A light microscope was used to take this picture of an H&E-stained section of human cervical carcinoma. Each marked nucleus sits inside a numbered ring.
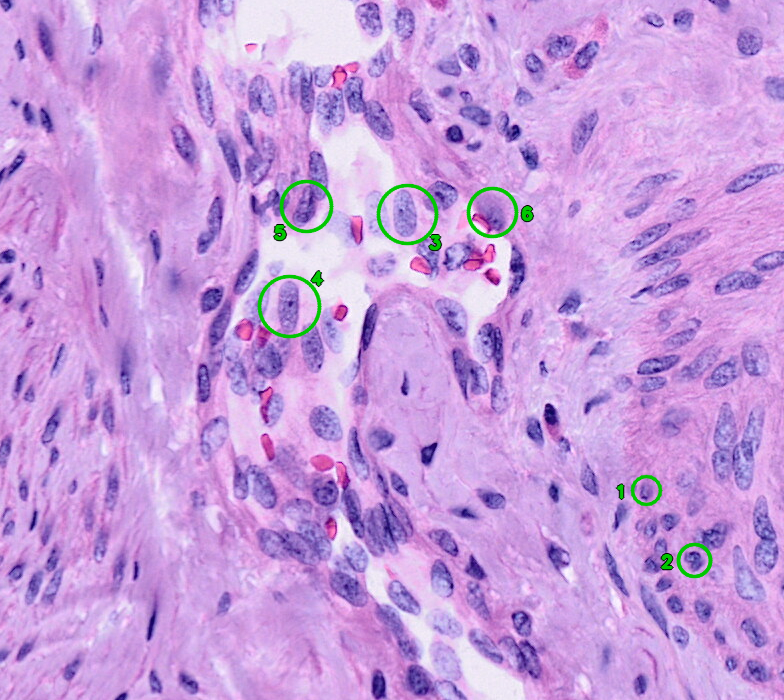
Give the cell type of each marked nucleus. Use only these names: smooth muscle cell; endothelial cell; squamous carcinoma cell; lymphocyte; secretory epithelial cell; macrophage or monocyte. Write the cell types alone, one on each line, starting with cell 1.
smooth muscle cell
smooth muscle cell
endothelial cell
endothelial cell
endothelial cell
endothelial cell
